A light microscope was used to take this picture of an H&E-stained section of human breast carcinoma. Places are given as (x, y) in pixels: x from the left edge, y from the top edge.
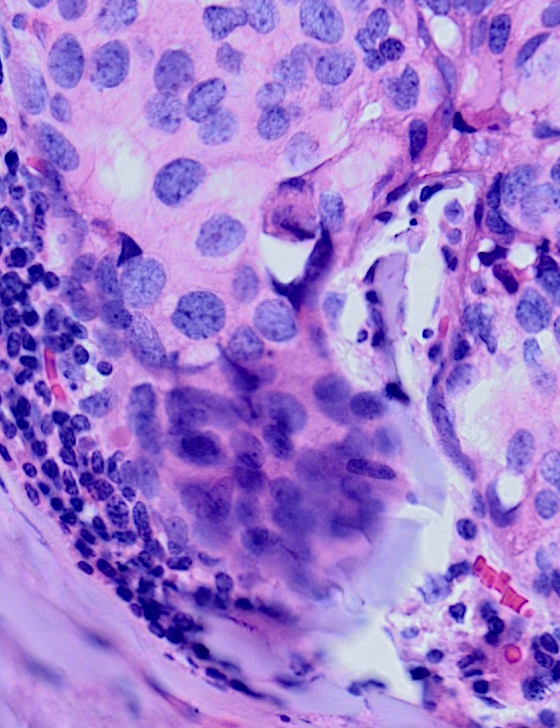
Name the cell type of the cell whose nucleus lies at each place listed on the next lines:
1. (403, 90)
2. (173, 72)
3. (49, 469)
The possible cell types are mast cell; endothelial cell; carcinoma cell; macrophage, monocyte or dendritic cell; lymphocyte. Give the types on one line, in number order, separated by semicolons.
carcinoma cell; carcinoma cell; lymphocyte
